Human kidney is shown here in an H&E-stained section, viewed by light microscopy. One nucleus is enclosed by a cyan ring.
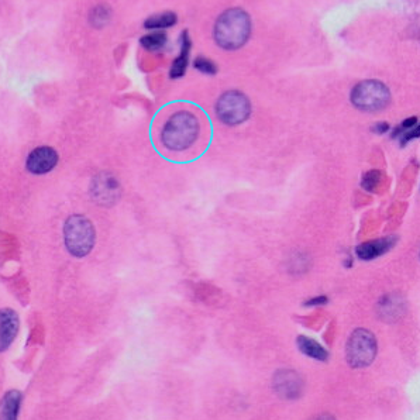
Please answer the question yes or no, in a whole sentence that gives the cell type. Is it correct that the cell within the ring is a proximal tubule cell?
Yes, the cell within the ring is one that is classed as a proximal tubule cell.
